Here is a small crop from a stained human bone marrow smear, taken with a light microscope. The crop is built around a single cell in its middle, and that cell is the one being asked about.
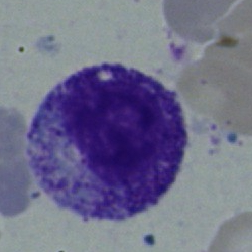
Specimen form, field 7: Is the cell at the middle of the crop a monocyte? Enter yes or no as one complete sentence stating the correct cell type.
No, the central cell here is a myelocyte; calling it a monocyte is not right.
